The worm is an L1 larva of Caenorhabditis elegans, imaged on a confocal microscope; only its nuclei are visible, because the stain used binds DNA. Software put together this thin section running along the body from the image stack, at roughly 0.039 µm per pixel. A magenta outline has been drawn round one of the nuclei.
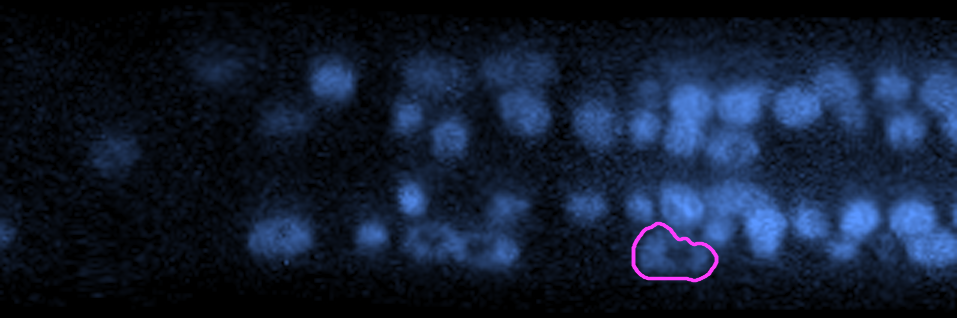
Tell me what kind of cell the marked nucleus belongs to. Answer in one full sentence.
The marked cell is a seam cell.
